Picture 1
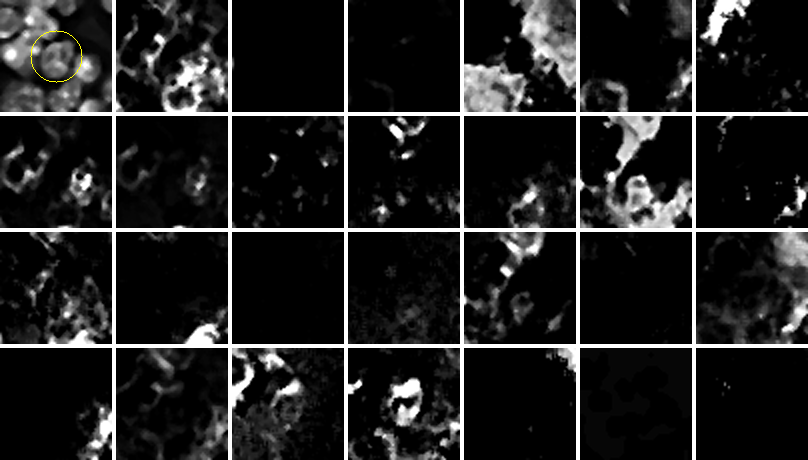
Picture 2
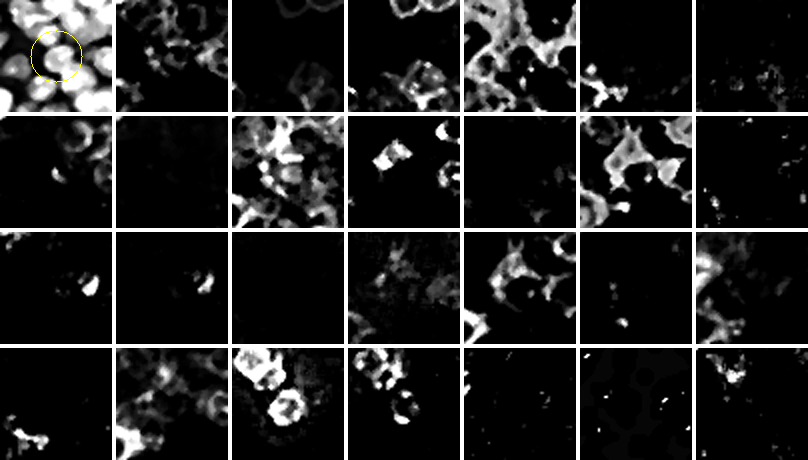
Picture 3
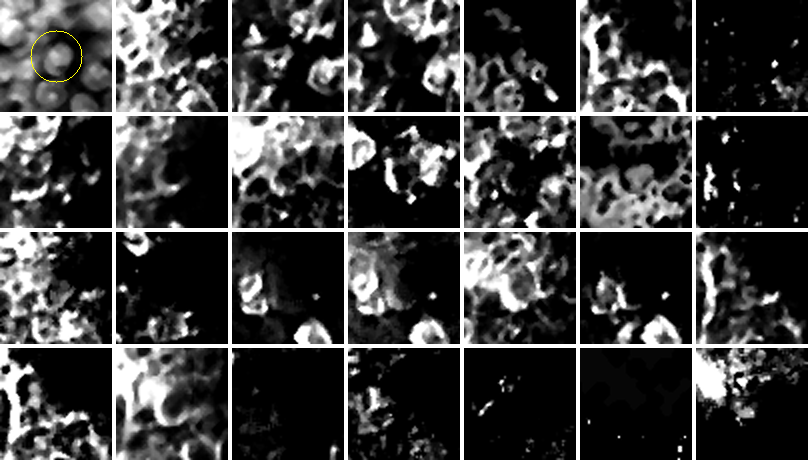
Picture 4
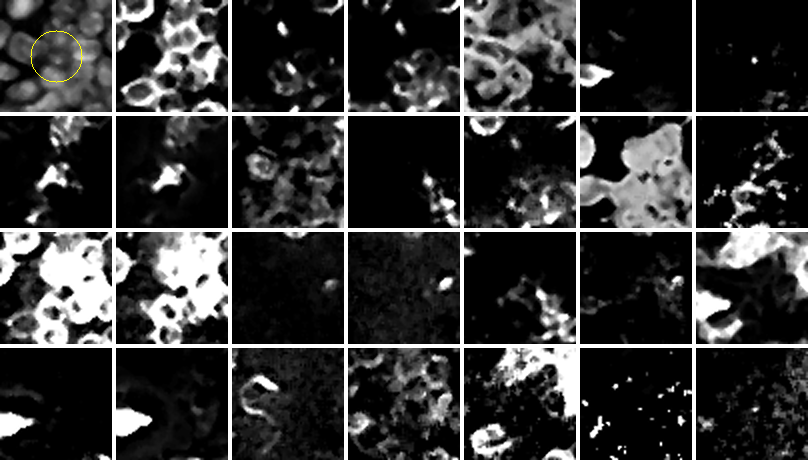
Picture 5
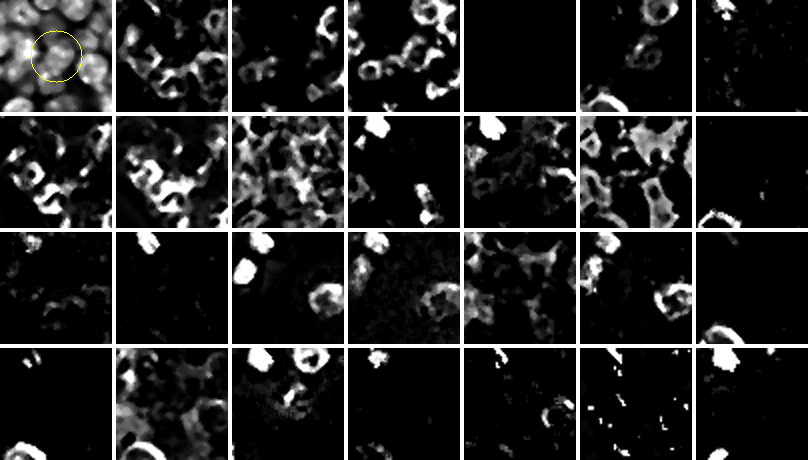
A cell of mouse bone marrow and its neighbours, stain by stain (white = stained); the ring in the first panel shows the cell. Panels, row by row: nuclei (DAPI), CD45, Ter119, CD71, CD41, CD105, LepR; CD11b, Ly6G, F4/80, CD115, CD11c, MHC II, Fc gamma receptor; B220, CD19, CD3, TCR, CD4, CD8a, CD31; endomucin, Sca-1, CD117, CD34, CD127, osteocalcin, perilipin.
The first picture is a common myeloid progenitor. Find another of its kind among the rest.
Picture 2.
